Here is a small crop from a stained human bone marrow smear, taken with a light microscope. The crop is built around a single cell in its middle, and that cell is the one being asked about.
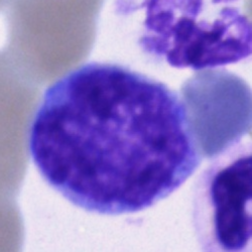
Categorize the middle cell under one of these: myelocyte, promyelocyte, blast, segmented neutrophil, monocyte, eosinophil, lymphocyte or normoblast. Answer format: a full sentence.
What sits at the centre of this crop is a monocyte.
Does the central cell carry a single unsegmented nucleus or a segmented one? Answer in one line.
Its nucleus is compact and single, with a round, oval or kidney-shaped form.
